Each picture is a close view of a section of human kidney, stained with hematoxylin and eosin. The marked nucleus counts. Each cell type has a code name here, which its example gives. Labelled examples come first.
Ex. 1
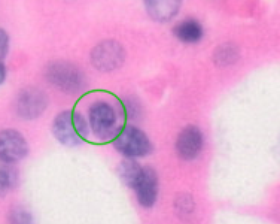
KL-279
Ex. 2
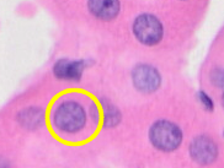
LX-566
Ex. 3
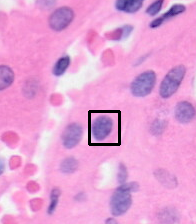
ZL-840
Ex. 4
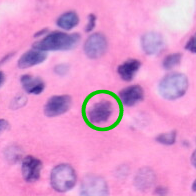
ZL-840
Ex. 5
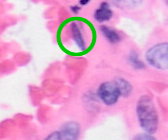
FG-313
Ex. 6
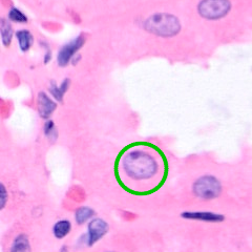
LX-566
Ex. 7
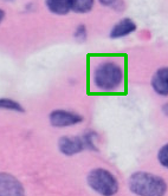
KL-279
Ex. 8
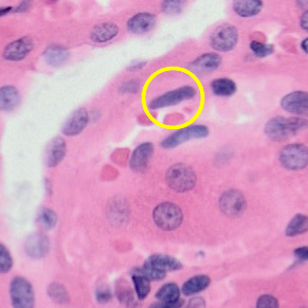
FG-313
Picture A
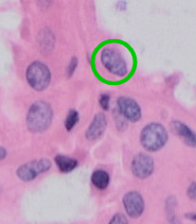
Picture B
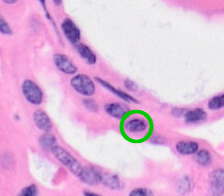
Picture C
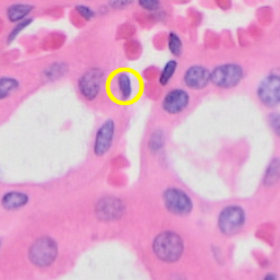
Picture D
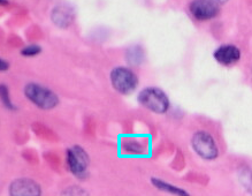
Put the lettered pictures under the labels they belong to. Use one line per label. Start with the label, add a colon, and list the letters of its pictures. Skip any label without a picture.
KL-279: B
ZL-840: A
FG-313: C, D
